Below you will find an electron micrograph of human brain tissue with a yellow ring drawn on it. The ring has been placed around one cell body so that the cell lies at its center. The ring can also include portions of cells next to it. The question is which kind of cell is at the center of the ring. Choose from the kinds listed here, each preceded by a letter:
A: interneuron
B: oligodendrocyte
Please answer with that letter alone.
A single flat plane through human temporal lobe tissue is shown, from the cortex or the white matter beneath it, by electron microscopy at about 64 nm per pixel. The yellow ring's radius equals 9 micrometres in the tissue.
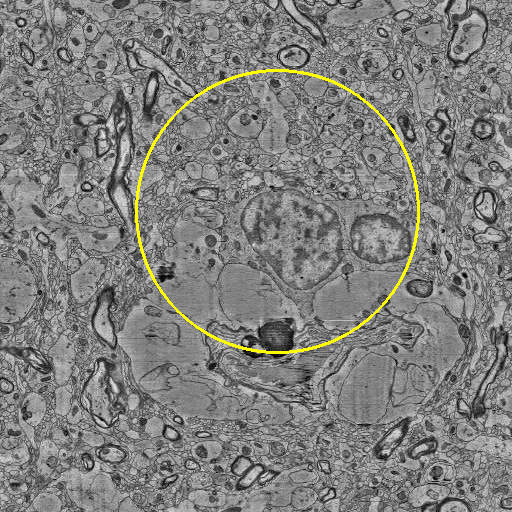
B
